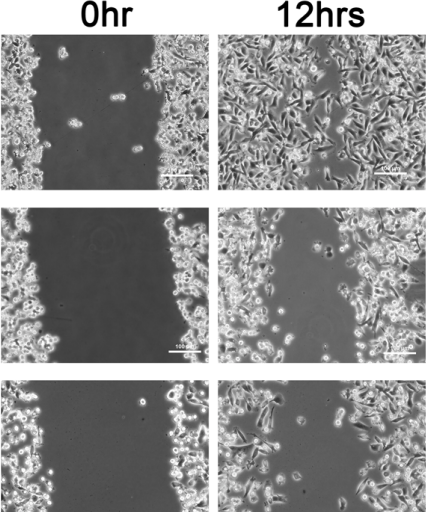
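These are cultured cells seen in phase contrast, growing as a flat layer with an empty scratch, or wound, cut through it. In the left-hand images the gap is wide and clear, bordered on each side by crowded cells, many of them small, round and bright-rimmed. In the right-hand images many cells have flattened and stretched into elongated, spindle-like shapes and have moved into the gap, filling it almost completely in the top image and only partly in the lower two.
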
